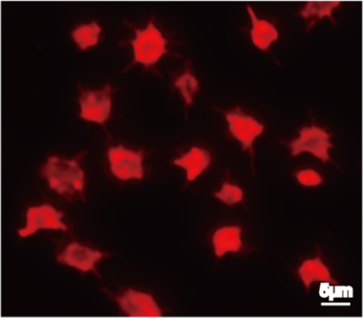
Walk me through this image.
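Small, separate red-stained platelets lie scattered on a dark background, each roughly the size of the scale bar. Most are compact and rounded or irregularly polygonal, with short spiky projections poking out from their edges. The red stain is dense and fairly uniform through the cell bodies, with little of a pale, thin outer zone. Only a few cells show broader flattened margins. These are platelets adhering to the surface and beginning to spread, mostly still compact.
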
